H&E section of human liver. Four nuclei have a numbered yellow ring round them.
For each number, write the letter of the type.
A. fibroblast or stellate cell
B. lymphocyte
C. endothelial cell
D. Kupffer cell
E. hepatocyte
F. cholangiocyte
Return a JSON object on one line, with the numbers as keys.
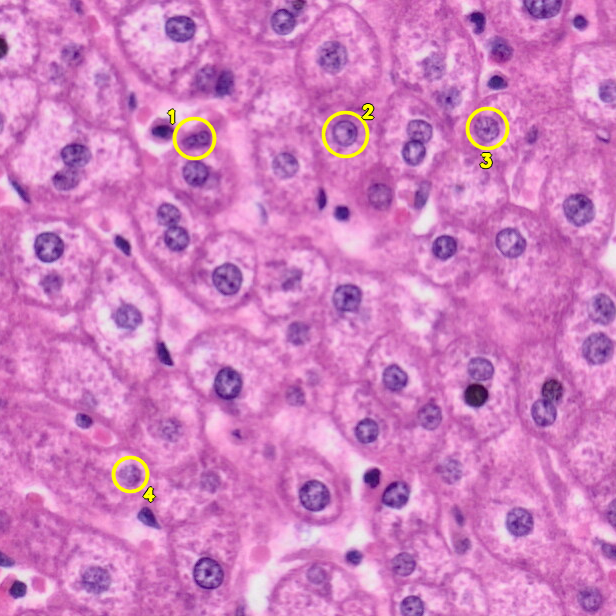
{"1": "D", "2": "E", "3": "E", "4": "E"}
